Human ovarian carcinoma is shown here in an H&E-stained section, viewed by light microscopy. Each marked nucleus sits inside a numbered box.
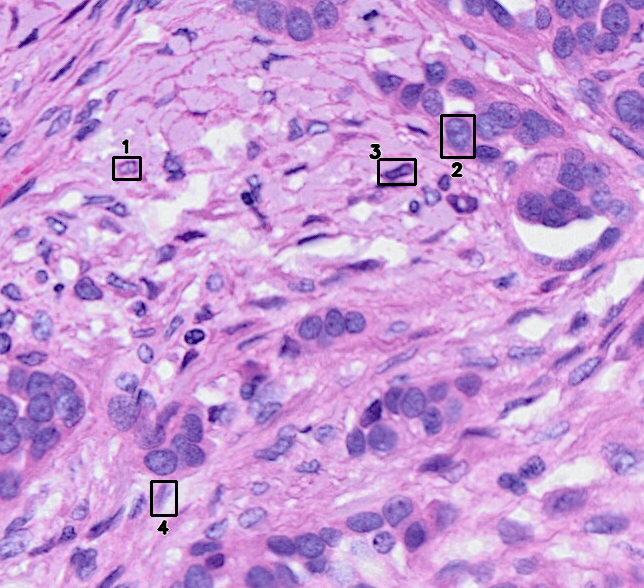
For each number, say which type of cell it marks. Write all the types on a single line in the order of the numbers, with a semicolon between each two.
fibroblast; carcinoma cell; fibroblast; fibroblast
